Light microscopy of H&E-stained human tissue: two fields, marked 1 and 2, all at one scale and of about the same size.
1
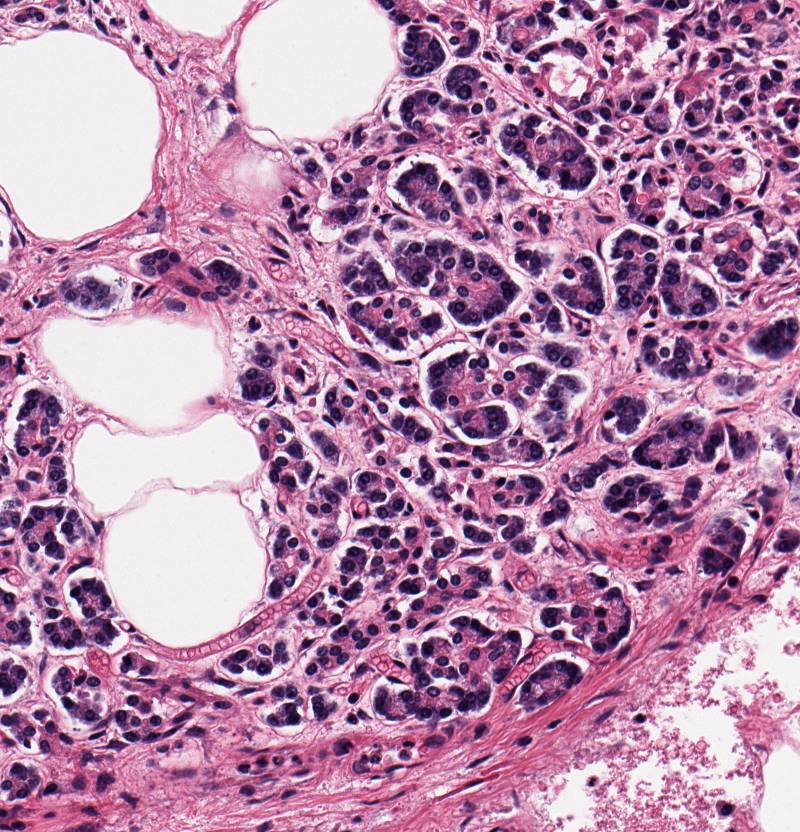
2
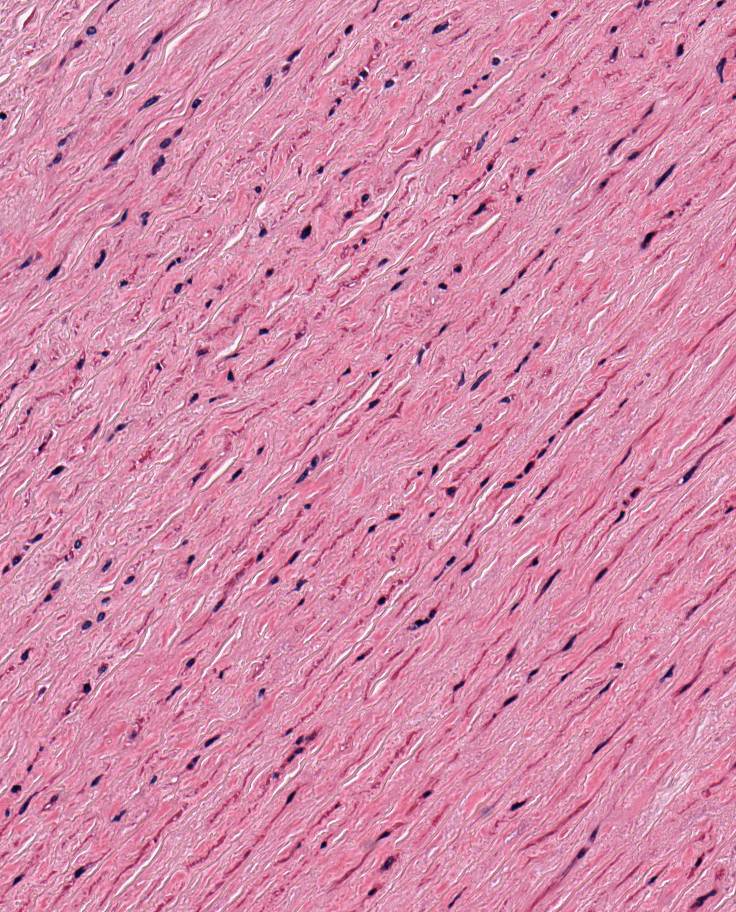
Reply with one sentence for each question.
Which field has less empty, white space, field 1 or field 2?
It is field 2 that stained tissue fills more completely.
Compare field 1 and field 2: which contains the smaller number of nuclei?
There are fewer nuclei in field 2.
